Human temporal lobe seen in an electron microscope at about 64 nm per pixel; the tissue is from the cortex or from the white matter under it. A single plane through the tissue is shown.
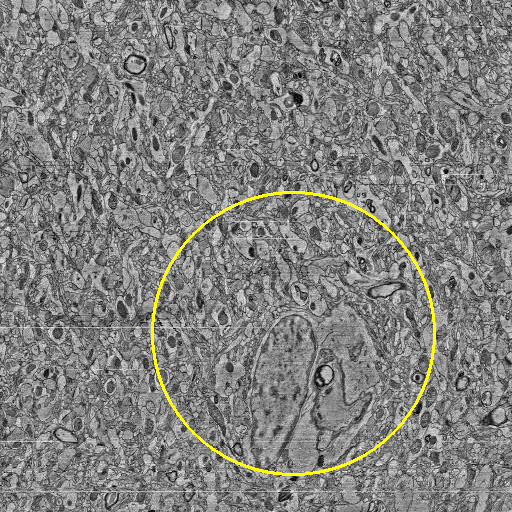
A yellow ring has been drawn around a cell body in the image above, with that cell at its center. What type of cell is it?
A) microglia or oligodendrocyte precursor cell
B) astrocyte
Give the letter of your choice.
A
